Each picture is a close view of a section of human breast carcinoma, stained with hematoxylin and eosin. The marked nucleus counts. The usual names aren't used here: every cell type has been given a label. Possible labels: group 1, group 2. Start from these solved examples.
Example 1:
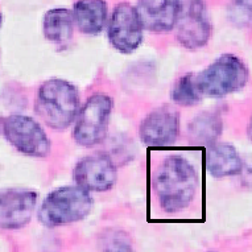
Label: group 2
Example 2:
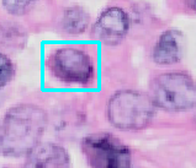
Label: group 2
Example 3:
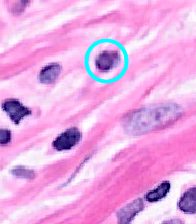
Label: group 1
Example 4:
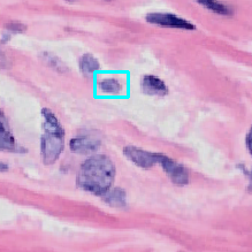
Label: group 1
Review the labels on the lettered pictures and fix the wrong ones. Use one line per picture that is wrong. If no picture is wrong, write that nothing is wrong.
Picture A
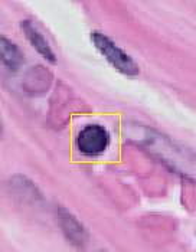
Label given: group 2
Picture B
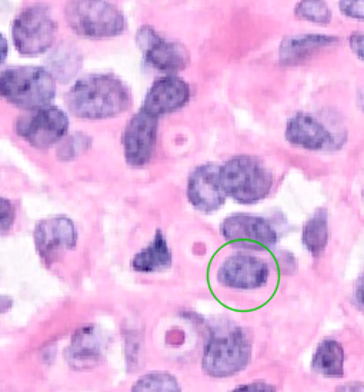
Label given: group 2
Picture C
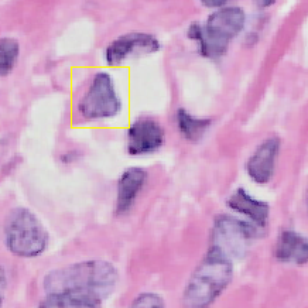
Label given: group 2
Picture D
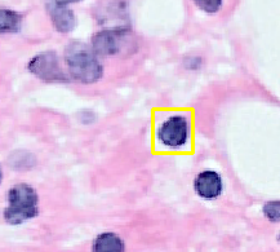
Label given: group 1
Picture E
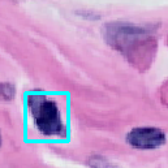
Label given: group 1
A should be group 1, not group 2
